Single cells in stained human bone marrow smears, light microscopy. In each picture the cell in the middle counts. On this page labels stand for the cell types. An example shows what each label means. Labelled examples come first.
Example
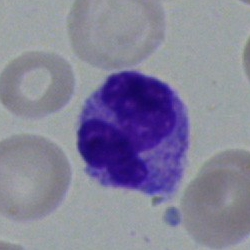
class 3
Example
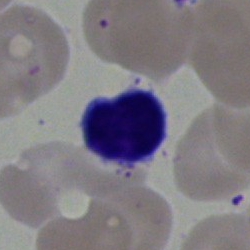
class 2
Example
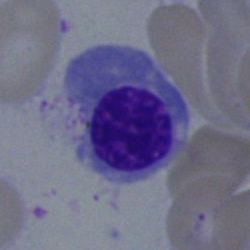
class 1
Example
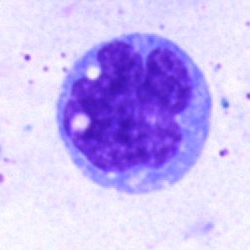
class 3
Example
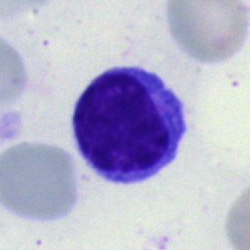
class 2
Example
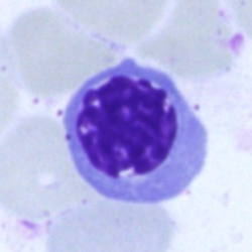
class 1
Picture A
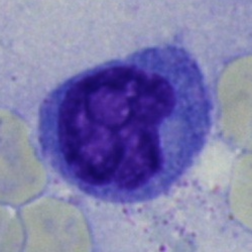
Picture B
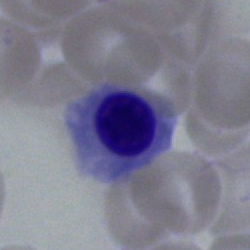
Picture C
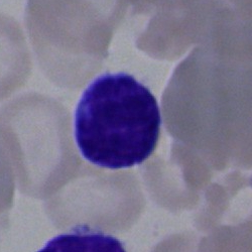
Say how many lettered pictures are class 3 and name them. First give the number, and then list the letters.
1: A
